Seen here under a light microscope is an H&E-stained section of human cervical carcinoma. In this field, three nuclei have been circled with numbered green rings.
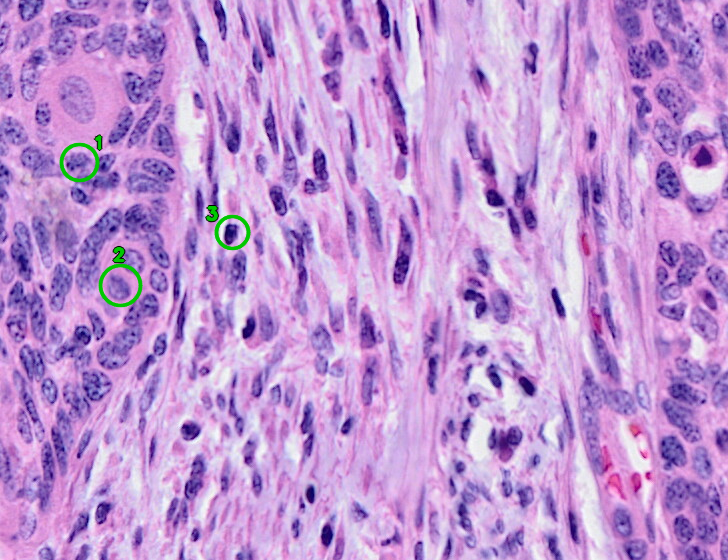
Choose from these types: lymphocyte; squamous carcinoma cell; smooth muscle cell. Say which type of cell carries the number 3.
lymphocyte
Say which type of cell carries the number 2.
squamous carcinoma cell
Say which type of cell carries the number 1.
squamous carcinoma cell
